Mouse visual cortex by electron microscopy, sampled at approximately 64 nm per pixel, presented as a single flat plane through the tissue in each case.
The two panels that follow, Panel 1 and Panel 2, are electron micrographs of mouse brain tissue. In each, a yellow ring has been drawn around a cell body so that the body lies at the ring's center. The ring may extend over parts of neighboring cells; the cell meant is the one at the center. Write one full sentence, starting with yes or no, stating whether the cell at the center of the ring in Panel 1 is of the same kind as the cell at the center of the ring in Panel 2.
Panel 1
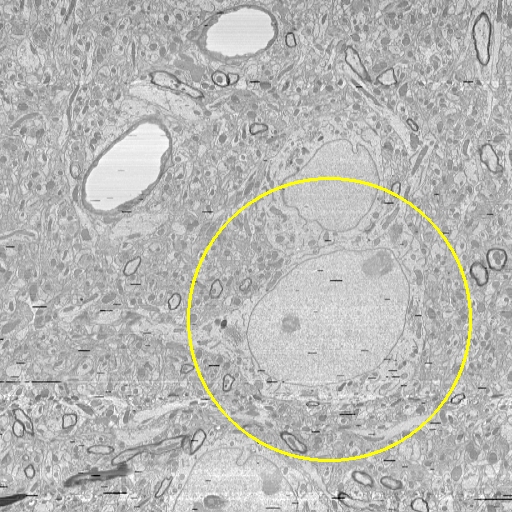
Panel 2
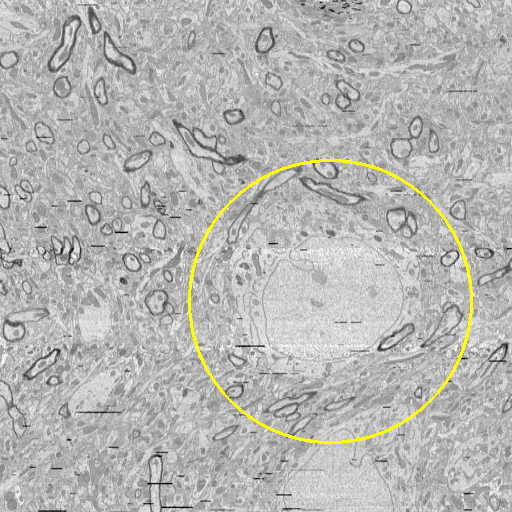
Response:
Yes, the cells in both panels are of the same kind.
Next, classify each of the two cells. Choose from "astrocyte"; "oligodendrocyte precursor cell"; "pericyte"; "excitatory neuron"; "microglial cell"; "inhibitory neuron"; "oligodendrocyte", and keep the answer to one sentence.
Each one of the two ringed cells is an excitatory neuron.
